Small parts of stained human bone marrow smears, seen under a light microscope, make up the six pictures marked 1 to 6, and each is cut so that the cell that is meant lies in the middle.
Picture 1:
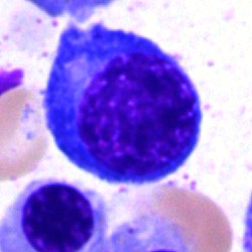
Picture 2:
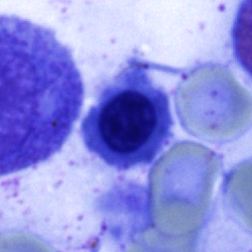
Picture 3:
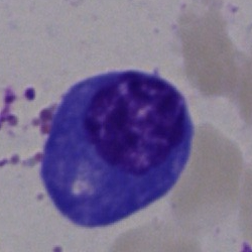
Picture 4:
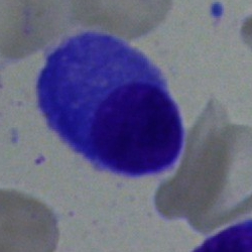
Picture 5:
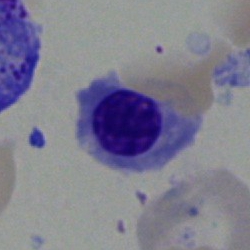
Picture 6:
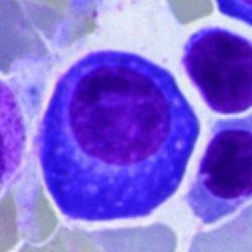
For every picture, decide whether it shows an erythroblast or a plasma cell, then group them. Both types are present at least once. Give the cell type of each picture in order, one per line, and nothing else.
erythroblast
erythroblast
plasma cell
plasma cell
erythroblast
plasma cell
